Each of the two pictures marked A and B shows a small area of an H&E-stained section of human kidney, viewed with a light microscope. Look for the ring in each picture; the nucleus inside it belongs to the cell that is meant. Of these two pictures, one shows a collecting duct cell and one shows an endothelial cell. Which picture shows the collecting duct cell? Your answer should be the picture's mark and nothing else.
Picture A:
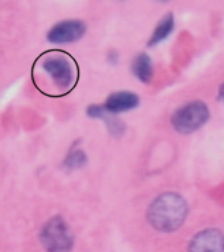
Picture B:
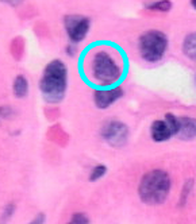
B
